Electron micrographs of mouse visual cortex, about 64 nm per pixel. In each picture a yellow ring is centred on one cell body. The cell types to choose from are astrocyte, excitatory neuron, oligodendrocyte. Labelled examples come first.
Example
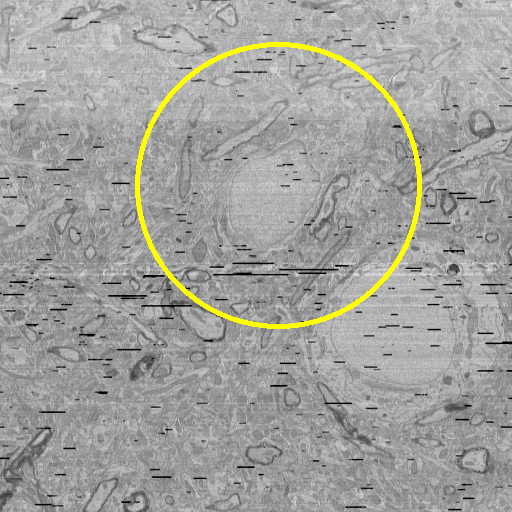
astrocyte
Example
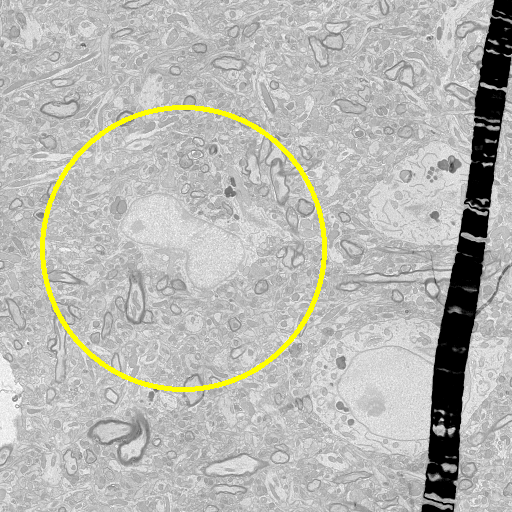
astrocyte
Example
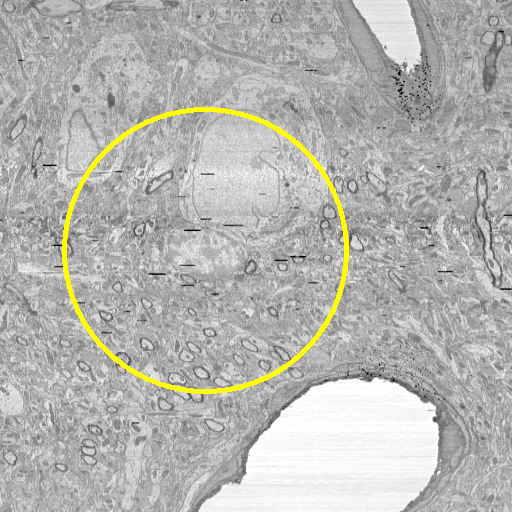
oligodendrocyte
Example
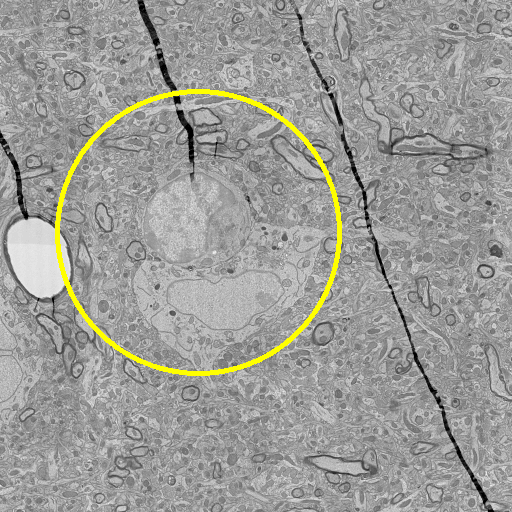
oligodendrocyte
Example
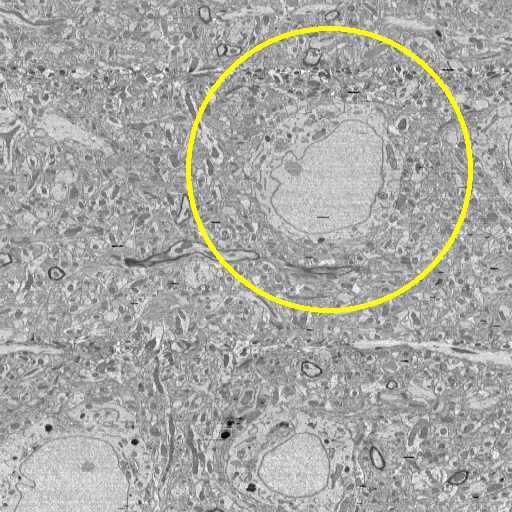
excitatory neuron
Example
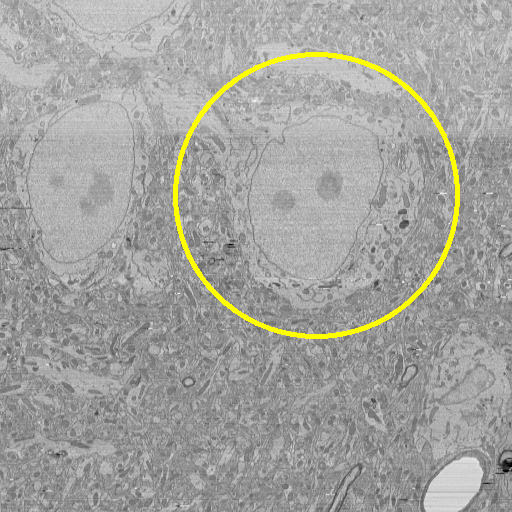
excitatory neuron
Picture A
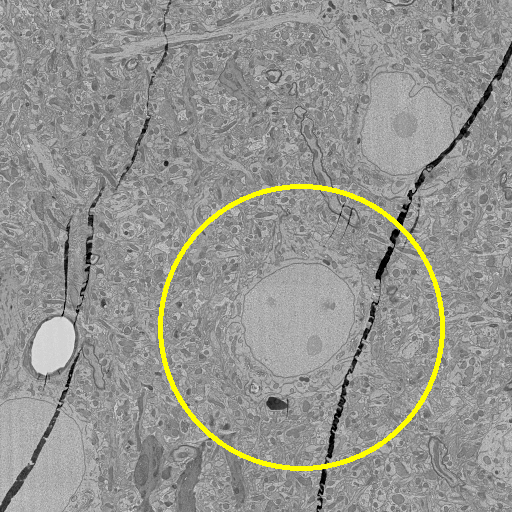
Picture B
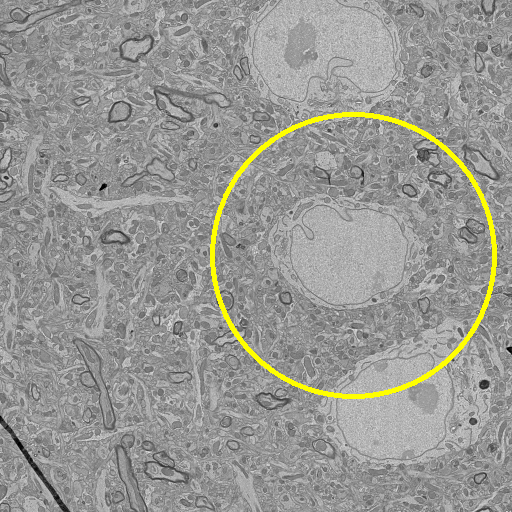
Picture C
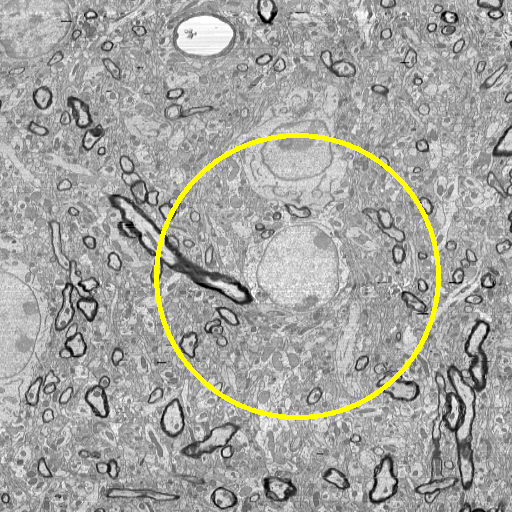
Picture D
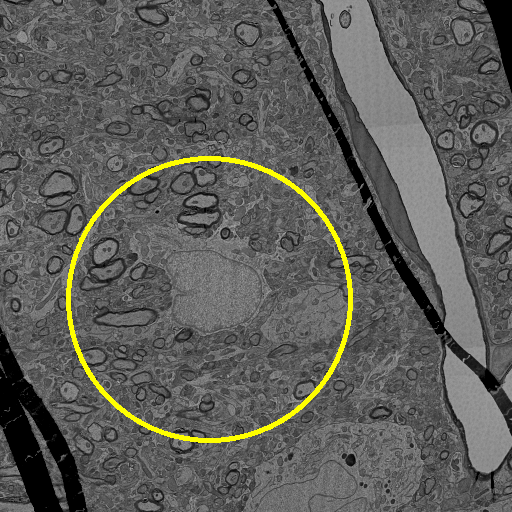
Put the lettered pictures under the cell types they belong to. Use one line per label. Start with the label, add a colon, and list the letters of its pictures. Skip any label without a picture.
astrocyte: C, D
excitatory neuron: A, B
